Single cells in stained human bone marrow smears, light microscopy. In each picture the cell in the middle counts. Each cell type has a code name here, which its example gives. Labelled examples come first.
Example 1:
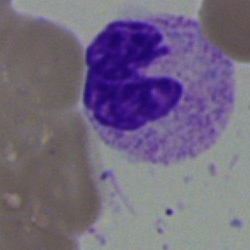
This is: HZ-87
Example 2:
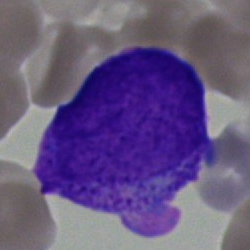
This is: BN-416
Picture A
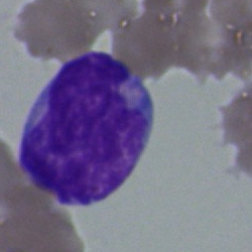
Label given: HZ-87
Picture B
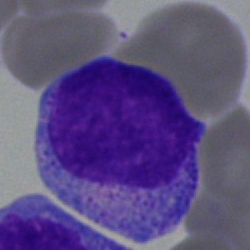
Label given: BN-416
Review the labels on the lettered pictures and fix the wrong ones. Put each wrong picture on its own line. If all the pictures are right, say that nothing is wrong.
A: BN-416, not HZ-87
